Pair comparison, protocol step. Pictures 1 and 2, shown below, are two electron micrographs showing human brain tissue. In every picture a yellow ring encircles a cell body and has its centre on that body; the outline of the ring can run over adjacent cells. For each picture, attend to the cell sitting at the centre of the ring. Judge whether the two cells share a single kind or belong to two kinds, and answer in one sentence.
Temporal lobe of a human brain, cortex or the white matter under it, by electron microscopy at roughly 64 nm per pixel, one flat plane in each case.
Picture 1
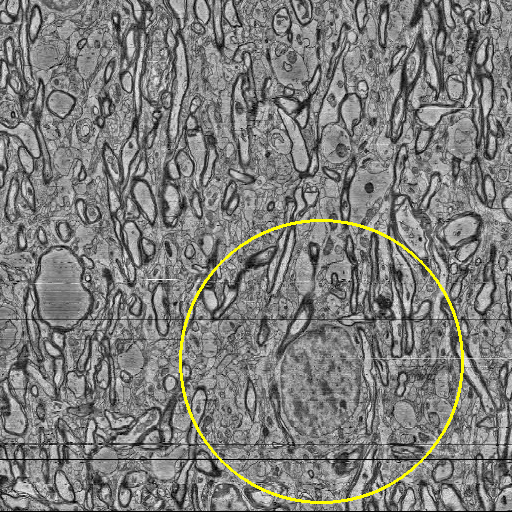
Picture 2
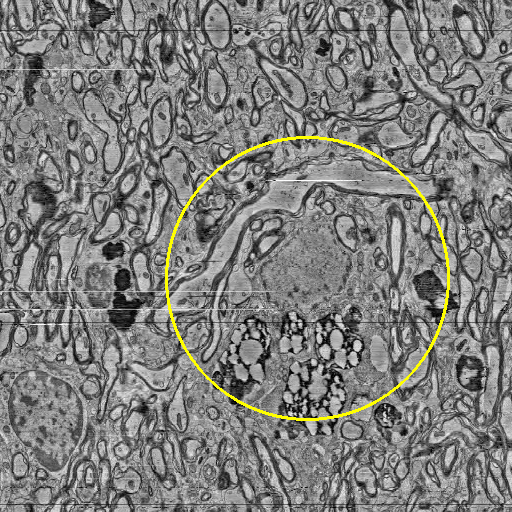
The two cells at the ring centres in Picture 1 and Picture 2 belong to two kinds.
